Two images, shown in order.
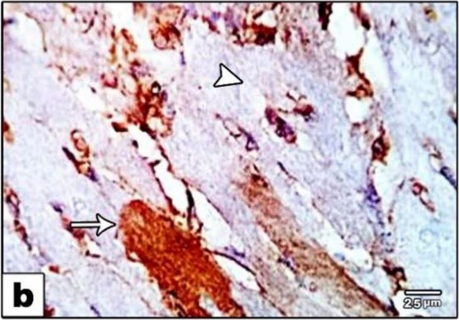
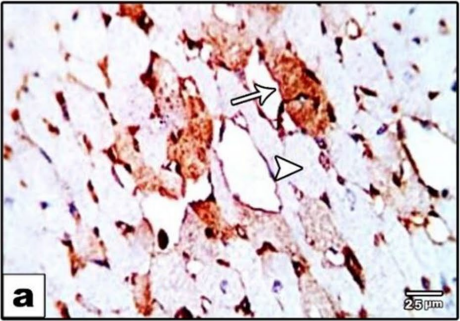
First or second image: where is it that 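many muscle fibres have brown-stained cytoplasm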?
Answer: The second image.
